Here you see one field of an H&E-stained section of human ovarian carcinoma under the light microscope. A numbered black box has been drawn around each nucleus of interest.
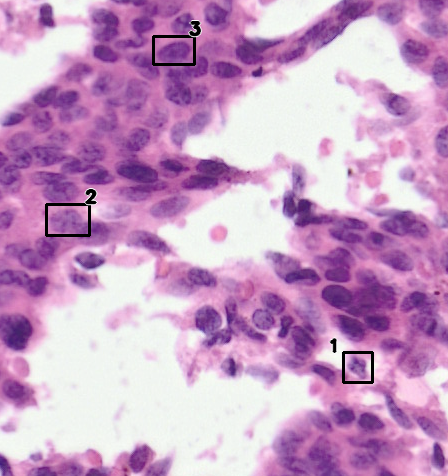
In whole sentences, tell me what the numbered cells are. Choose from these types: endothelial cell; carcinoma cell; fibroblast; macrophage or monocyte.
Cell 1 is a macrophage or monocyte, cell 2 is a carcinoma cell and cell 3 is a carcinoma cell.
